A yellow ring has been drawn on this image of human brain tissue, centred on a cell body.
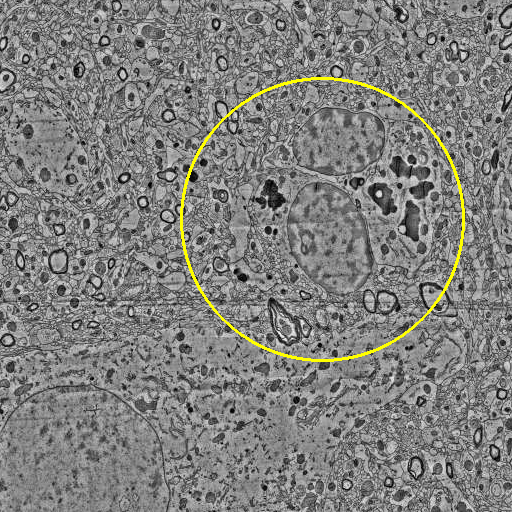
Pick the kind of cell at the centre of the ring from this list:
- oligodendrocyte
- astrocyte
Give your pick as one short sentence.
The centre of the ring holds an oligodendrocyte.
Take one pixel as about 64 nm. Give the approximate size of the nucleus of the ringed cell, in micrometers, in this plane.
Roughly 8 by 5 micrometres is the size of the nucleus in this plane.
